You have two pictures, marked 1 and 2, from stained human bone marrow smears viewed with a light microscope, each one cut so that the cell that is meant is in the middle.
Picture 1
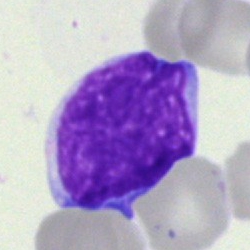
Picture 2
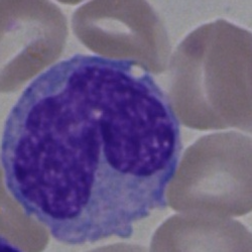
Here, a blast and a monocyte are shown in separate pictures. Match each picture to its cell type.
1: blast
2: monocyte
